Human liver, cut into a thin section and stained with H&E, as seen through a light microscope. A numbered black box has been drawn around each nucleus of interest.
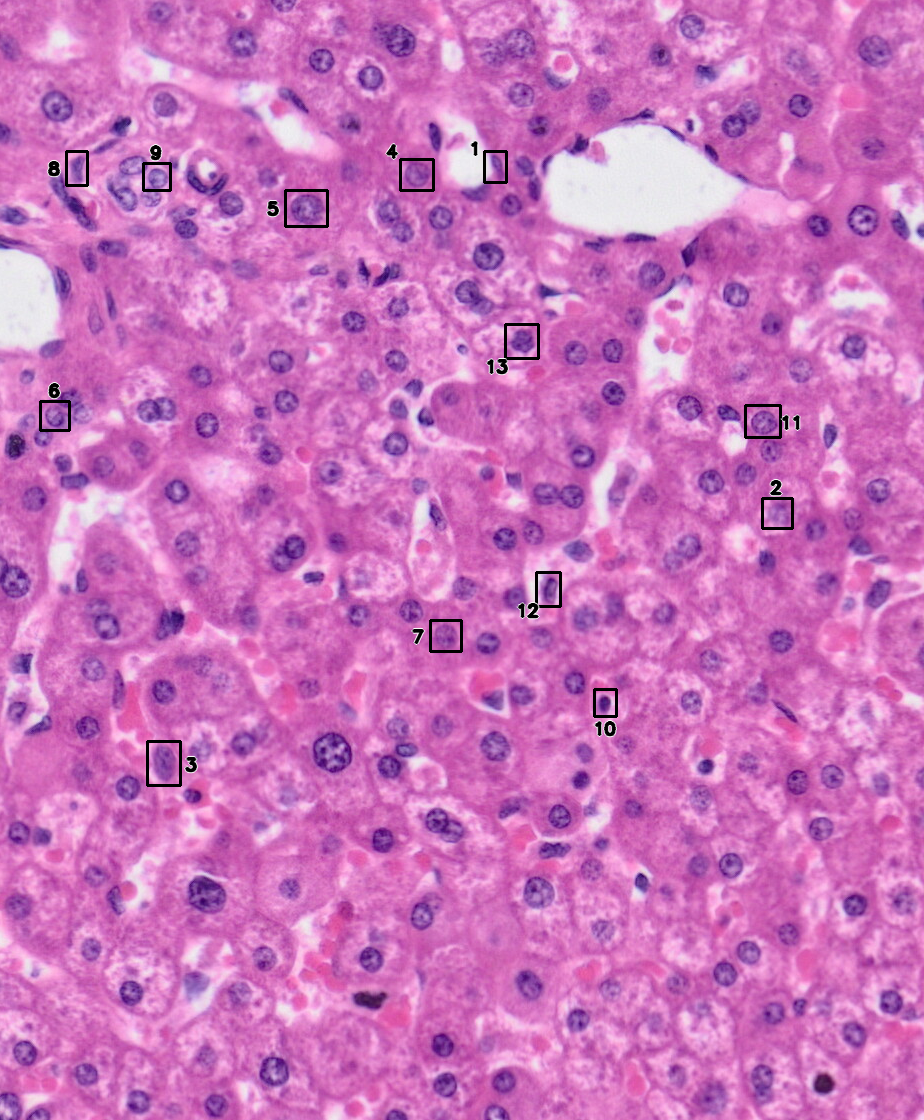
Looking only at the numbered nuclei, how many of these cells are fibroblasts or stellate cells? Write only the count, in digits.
2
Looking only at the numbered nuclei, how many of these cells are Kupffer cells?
2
